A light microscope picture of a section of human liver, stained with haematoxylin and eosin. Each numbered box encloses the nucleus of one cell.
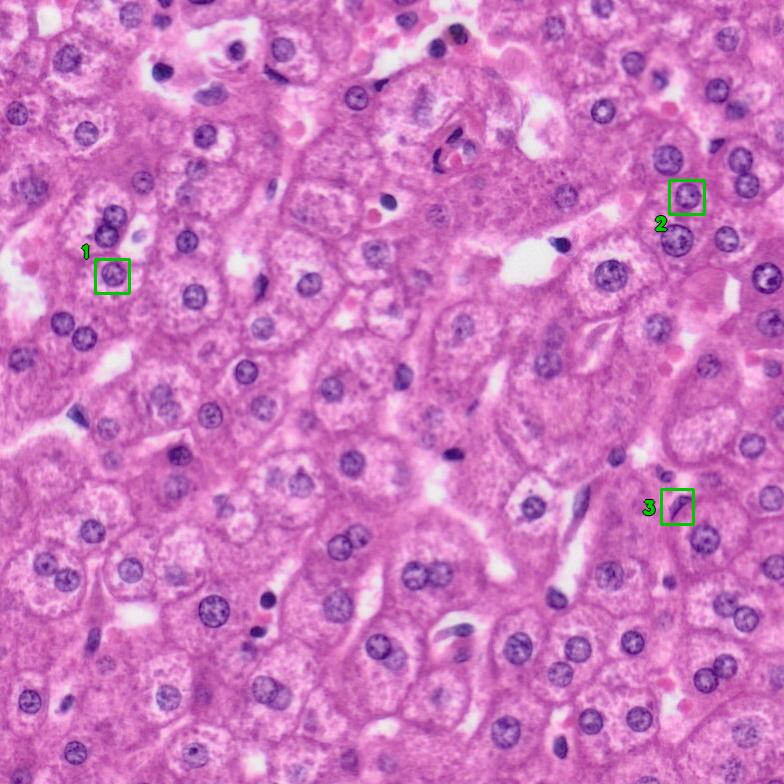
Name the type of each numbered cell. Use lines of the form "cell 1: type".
cell 1: hepatocyte
cell 2: hepatocyte
cell 3: endothelial cell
